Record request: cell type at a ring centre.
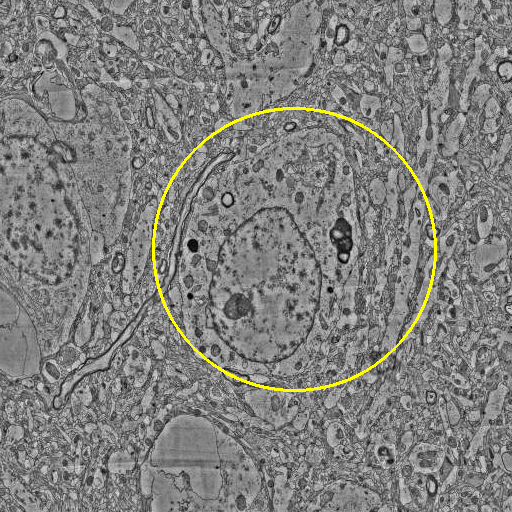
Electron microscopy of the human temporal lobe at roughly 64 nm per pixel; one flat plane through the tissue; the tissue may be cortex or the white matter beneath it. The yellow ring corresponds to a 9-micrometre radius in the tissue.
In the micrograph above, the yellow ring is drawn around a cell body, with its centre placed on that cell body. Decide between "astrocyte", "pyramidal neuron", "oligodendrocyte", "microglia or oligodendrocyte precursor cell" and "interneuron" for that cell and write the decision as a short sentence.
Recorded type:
The cell centred in the yellow ring is a pyramidal neuron.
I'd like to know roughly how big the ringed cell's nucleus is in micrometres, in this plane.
The nucleus comes to roughly 10 by 7 micrometres in this plane.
